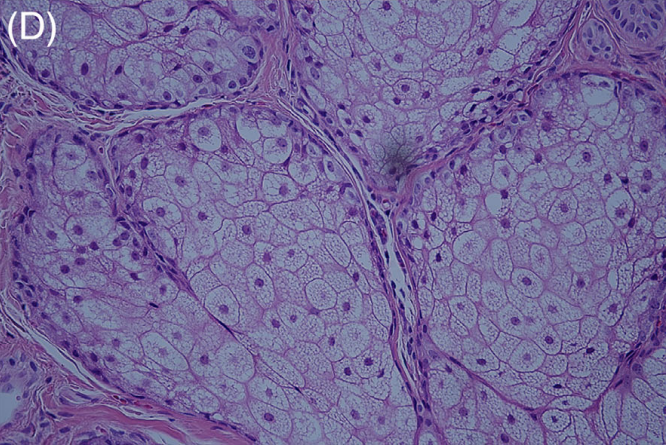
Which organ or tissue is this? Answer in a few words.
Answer: Sebaceous glands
